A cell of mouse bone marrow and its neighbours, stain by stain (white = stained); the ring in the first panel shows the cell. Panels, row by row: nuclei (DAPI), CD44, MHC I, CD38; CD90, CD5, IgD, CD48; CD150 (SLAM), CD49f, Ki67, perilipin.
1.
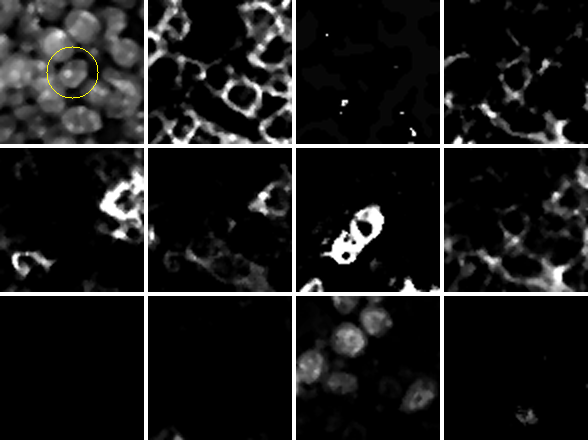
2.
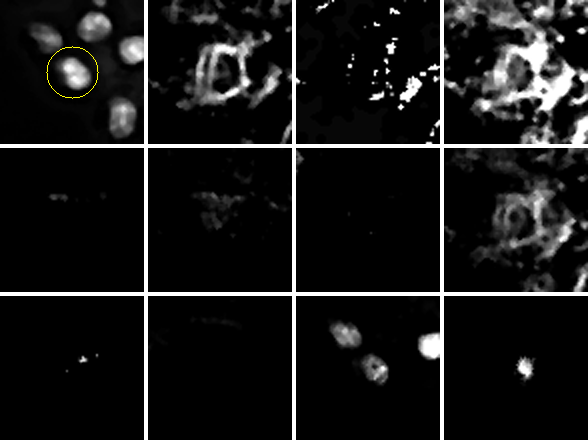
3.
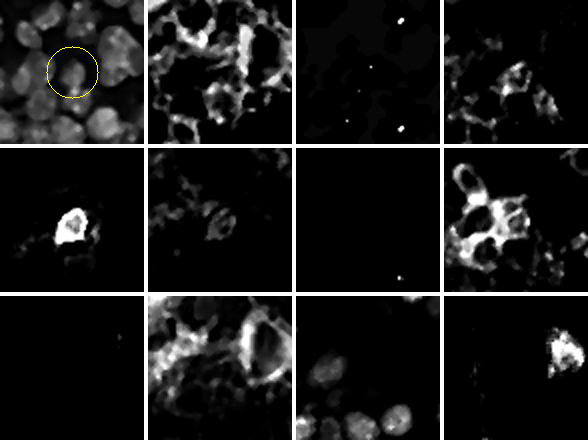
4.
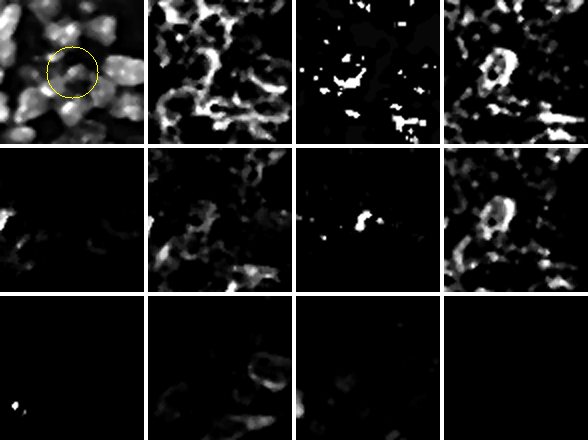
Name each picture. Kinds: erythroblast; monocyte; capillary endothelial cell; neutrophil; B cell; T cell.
1. B cell
2. monocyte
3. T cell
4. B cell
